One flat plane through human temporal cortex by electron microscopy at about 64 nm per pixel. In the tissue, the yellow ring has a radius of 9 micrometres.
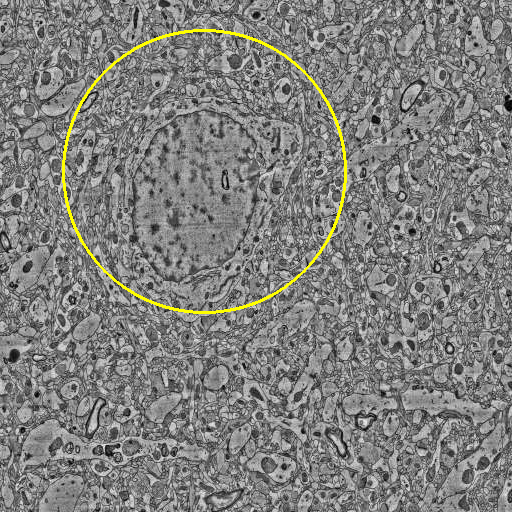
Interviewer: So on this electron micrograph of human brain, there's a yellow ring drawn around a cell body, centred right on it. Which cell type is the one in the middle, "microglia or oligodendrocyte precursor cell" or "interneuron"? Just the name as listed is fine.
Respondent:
interneuron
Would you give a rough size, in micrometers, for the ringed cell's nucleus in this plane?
In this plane, the nucleus of the cell at the centre of the ring measures about 11 by 8 micrometres.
